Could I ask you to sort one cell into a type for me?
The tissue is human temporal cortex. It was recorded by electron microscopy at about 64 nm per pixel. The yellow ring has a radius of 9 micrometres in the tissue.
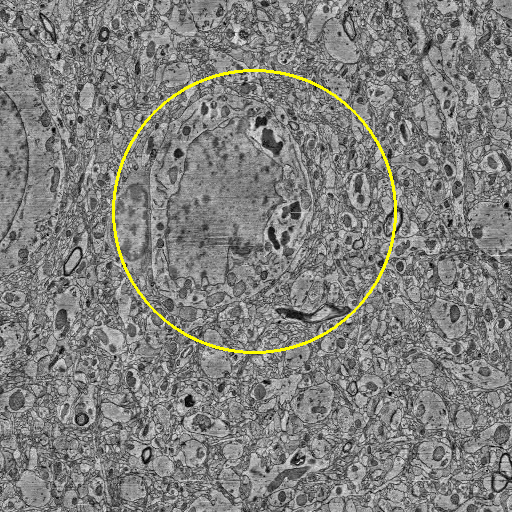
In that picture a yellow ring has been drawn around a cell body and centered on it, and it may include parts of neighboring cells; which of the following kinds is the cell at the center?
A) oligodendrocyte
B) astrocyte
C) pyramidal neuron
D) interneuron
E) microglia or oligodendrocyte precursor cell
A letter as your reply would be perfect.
D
